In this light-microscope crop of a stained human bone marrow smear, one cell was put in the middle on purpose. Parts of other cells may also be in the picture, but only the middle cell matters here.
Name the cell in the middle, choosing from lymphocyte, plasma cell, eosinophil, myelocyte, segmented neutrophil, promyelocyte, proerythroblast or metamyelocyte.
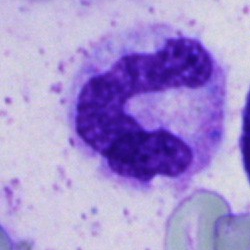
segmented neutrophil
